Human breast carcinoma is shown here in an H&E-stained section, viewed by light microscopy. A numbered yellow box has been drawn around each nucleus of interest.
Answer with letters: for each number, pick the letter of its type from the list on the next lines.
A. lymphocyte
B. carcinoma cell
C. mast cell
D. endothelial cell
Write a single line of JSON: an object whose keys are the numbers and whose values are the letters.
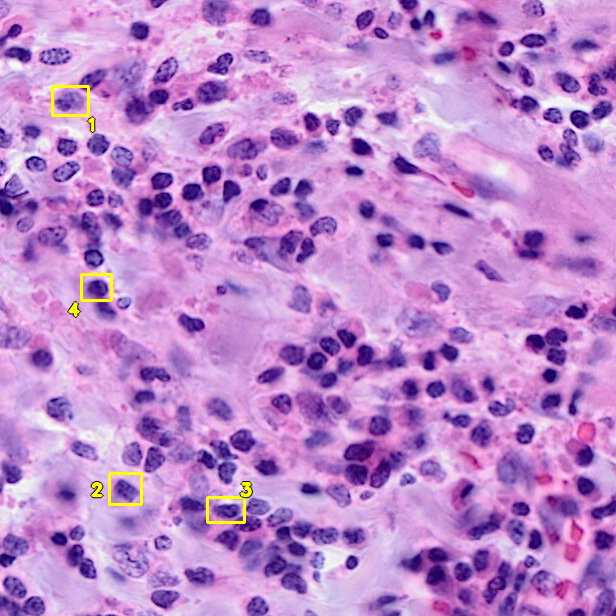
{"1": "C", "2": "A", "3": "A", "4": "A"}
